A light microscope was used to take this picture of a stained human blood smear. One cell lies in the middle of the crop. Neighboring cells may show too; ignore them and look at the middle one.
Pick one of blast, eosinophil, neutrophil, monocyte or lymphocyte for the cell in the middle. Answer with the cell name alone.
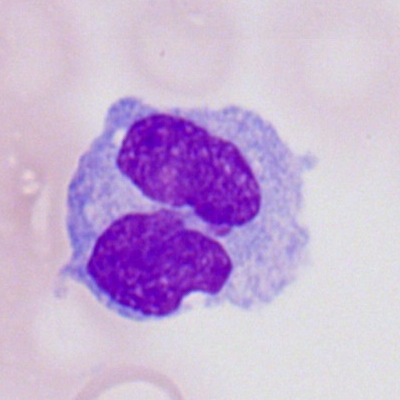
monocyte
